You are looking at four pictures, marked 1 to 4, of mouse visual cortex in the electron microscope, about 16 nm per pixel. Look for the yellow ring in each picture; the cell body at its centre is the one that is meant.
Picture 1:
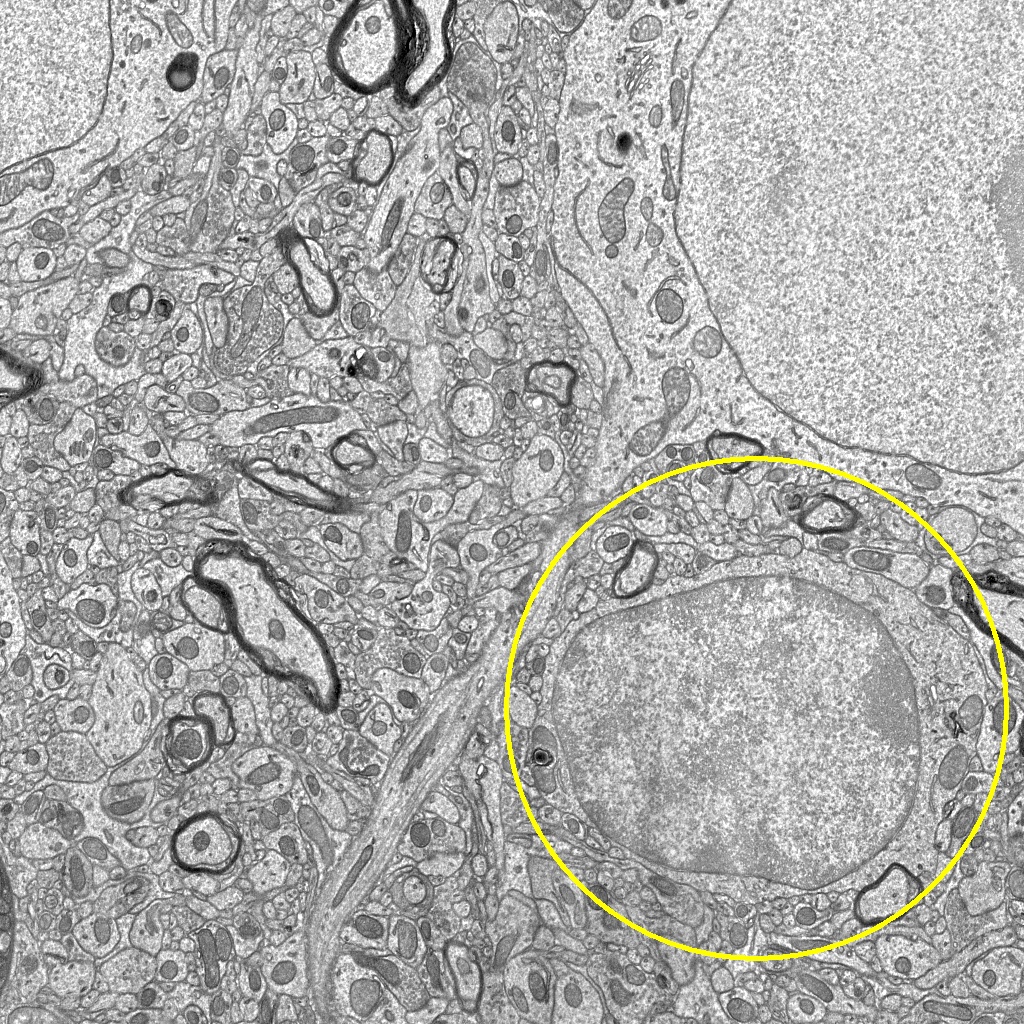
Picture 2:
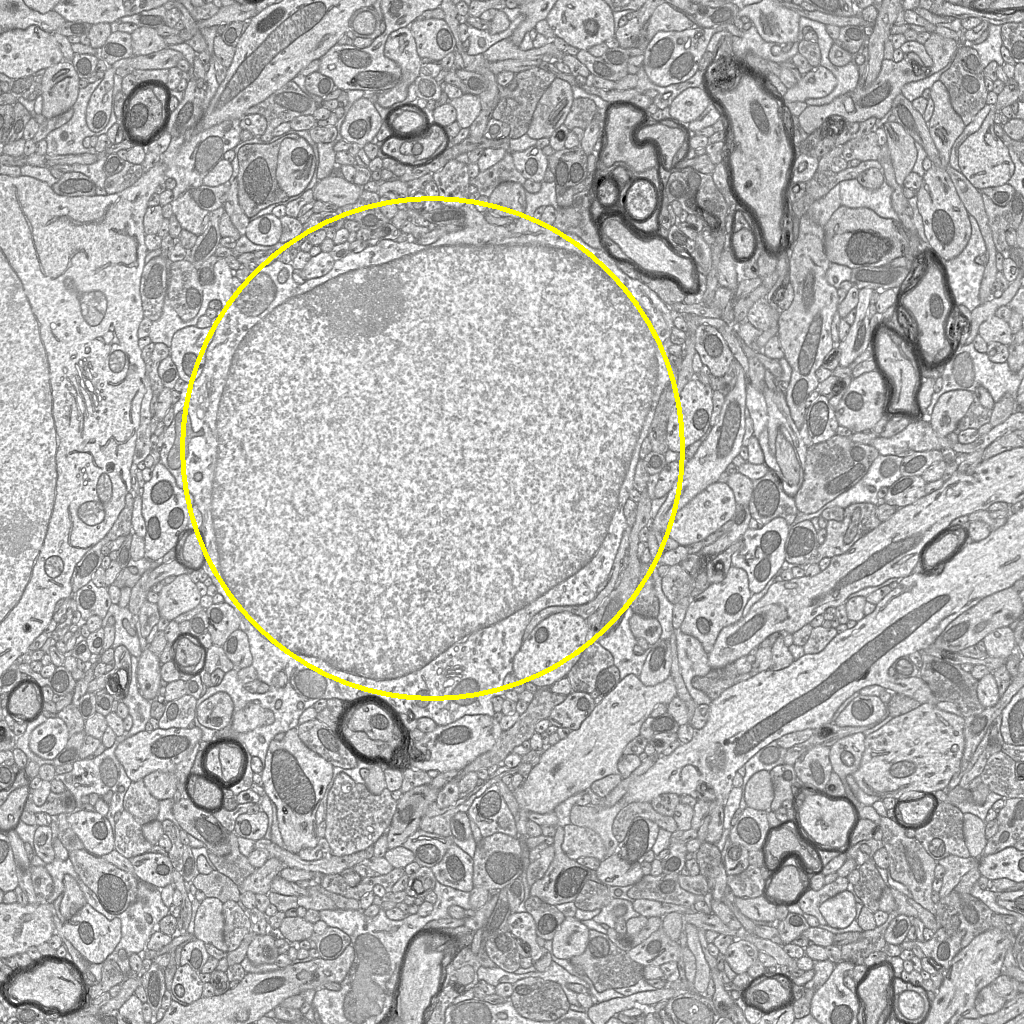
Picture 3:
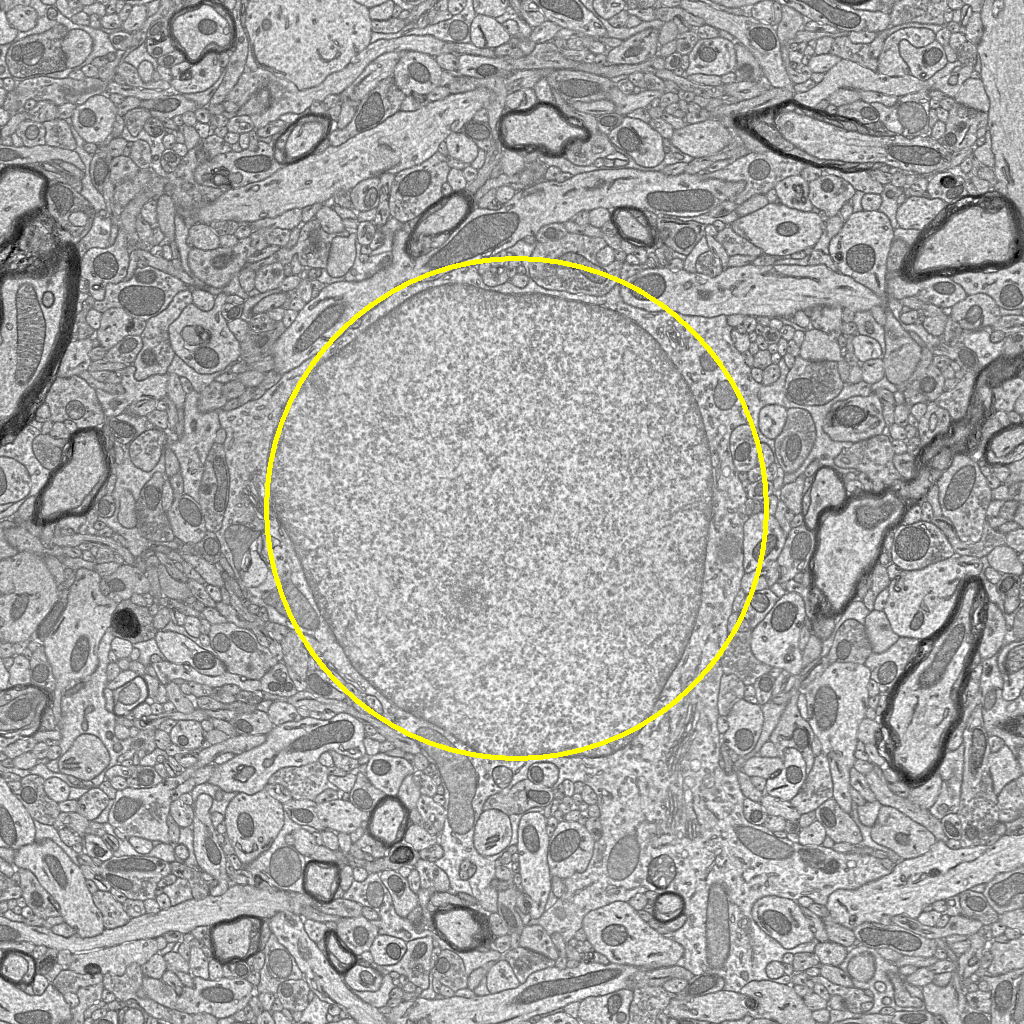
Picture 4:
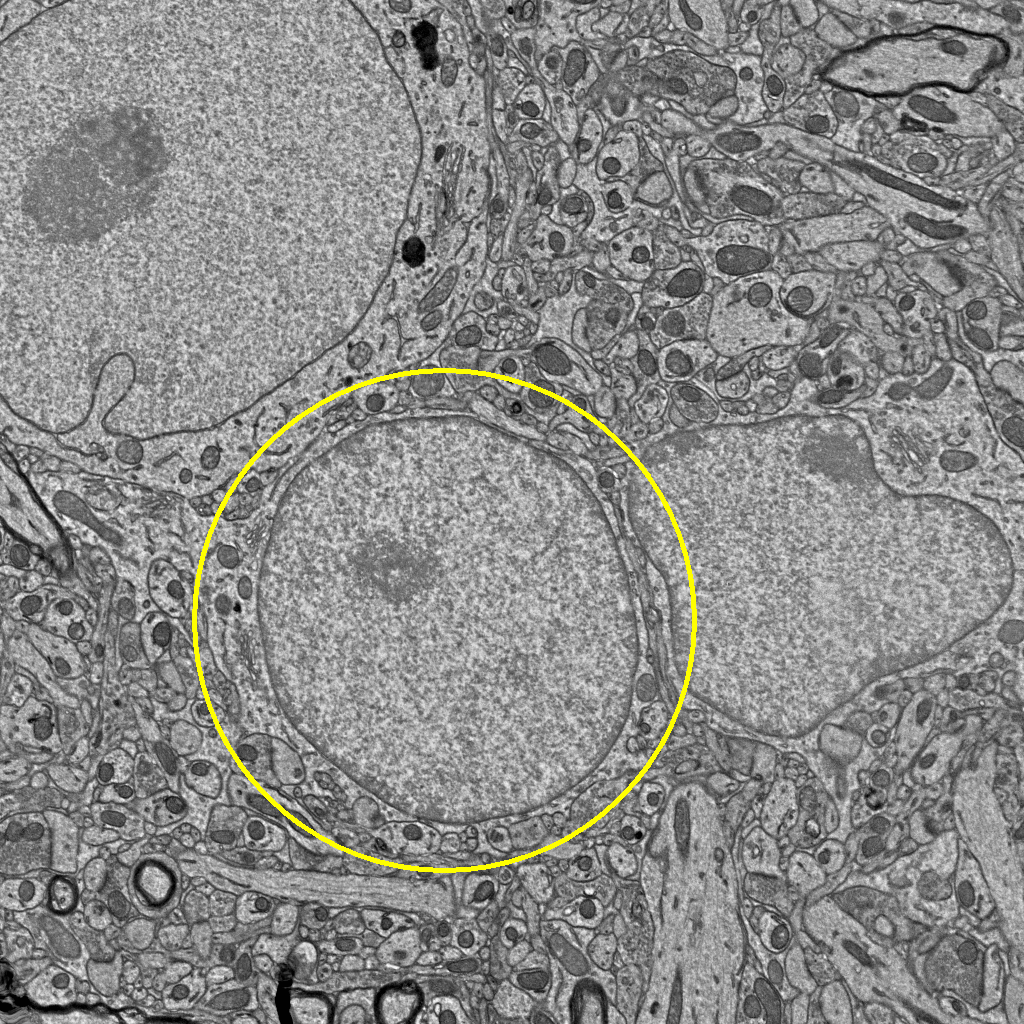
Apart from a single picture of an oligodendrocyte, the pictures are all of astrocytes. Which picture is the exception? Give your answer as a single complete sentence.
The cell in picture 1 is the oligodendrocyte.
